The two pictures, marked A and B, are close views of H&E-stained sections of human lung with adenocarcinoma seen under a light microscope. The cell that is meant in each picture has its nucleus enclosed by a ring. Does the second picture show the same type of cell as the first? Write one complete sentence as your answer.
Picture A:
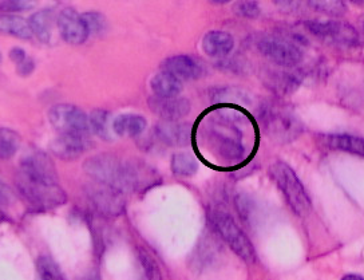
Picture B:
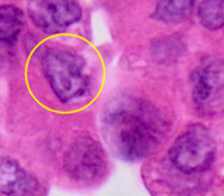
No. Picture A shows a ciliated epithelial cell, but picture B shows a carcinoma cell.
